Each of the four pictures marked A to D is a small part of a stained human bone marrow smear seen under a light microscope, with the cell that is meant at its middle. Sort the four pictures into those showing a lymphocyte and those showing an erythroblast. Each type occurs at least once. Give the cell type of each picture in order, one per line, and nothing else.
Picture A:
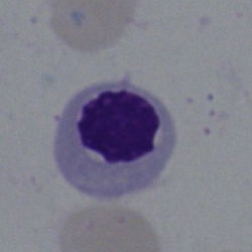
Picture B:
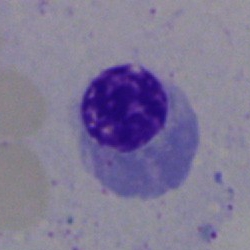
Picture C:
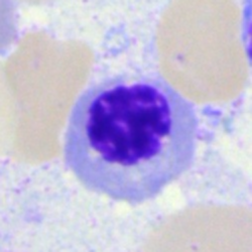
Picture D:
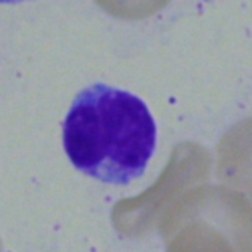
erythroblast
erythroblast
erythroblast
lymphocyte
